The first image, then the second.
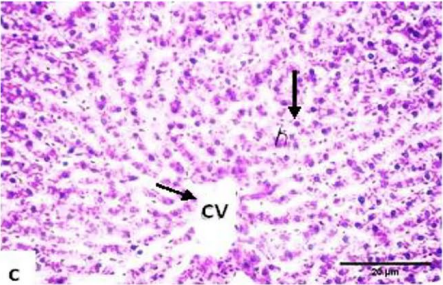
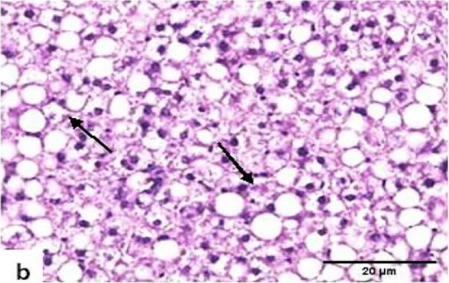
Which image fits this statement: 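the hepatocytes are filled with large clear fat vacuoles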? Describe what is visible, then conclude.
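The second image. First image: cell cords radiate from the central vein without large clear vacuoles.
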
